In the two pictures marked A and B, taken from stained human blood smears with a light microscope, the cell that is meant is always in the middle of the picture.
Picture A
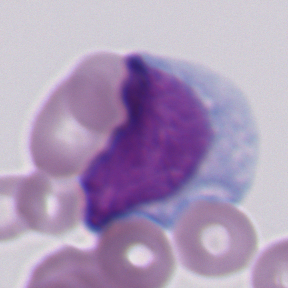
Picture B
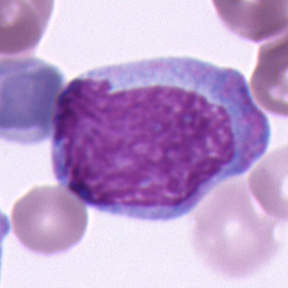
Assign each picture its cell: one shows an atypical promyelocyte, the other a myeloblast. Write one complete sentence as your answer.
The cell in picture A is a myeloblast, and the one in picture B is an atypical promyelocyte.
